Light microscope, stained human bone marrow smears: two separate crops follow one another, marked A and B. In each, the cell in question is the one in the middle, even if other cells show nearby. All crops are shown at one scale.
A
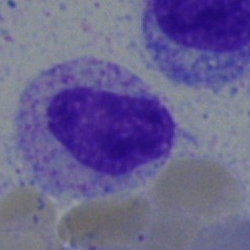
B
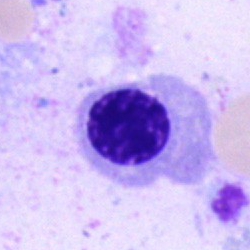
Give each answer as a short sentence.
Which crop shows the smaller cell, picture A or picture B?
It is the cell in picture B; the cell in picture A has about 1.5 times its area.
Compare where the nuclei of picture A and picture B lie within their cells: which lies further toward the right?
The nucleus in picture A lies further toward the right of its cell.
